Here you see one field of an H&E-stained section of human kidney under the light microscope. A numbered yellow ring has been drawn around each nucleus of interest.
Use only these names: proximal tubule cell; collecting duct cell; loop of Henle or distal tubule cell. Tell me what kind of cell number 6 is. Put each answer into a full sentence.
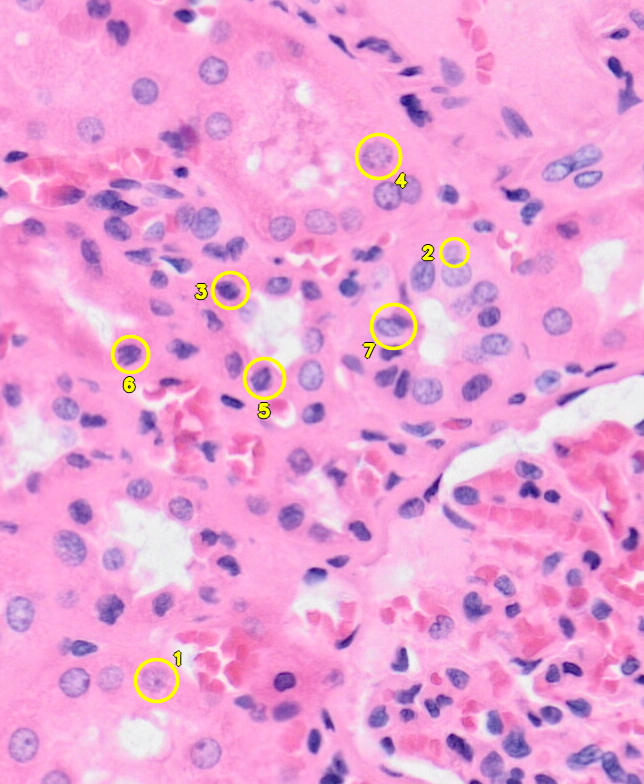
Looking at the numbered marks, cell 6 is a proximal tubule cell.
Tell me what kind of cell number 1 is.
In the marked set, the cell given number 1 is a proximal tubule cell.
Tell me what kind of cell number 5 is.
Nucleus 5 in this section belongs to a loop of Henle or distal tubule cell.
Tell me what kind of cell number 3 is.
The correct answer for cell 3 is a loop of Henle or distal tubule cell.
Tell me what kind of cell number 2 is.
Cell 2 in the field of view is a collecting duct cell.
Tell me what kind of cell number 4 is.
Cell 4, as marked in the section, is a proximal tubule cell.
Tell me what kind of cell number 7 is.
The one labeled 7 is a collecting duct cell, to put it simply.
